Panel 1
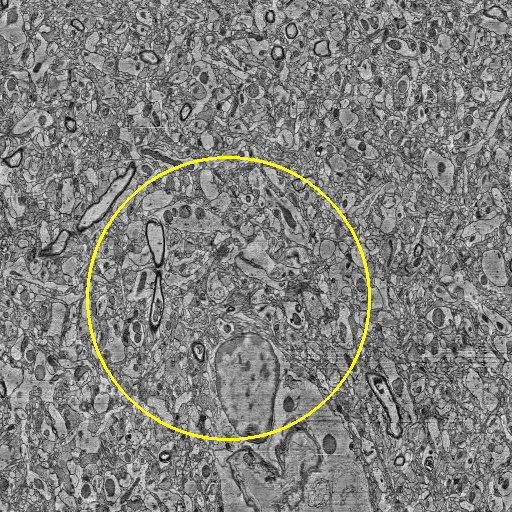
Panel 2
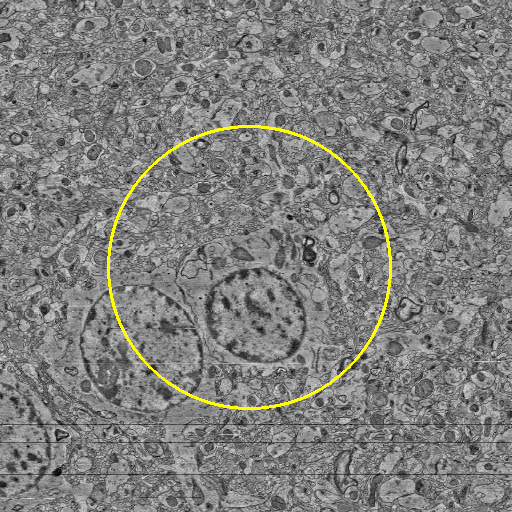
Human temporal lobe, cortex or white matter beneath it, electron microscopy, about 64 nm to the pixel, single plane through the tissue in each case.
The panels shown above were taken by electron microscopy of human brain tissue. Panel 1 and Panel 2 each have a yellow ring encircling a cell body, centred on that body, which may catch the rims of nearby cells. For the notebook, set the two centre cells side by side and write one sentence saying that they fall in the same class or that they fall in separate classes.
The centred cells of Panel 1 and Panel 2 fall in separate classes.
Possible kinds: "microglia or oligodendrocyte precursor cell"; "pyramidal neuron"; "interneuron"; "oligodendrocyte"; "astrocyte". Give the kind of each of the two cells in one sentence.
The cell in the second picture is an astrocyte, and that in the first is a microglial cell or oligodendrocyte precursor cell.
